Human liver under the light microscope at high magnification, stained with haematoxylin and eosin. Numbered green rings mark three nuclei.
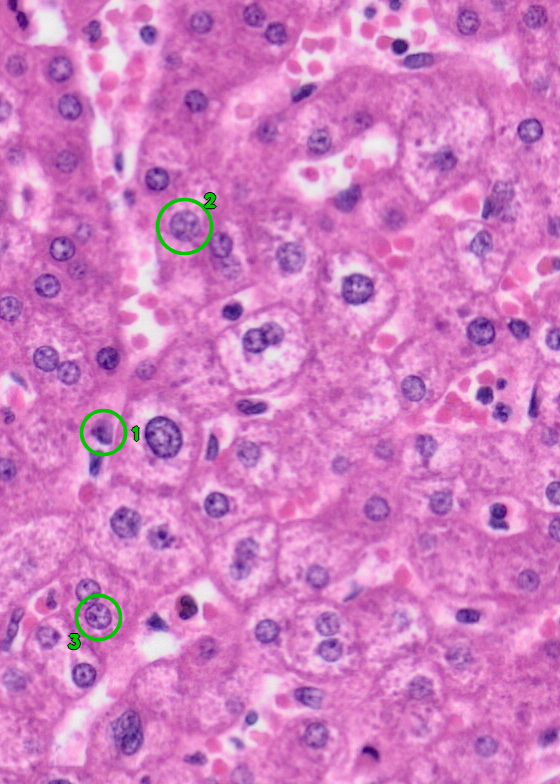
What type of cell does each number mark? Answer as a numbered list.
1. endothelial cell
2. hepatocyte
3. hepatocyte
